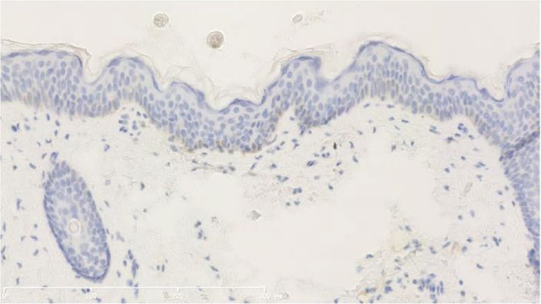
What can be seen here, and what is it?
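The keratinocytes have small blue oval nuclei and pale cytoplasm with little brown stain. A thin layer of cornified material lies on top. Below, a loose, pale dermis holds scattered spindle-shaped cells, and a hair follicle is cut across in the lower left.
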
